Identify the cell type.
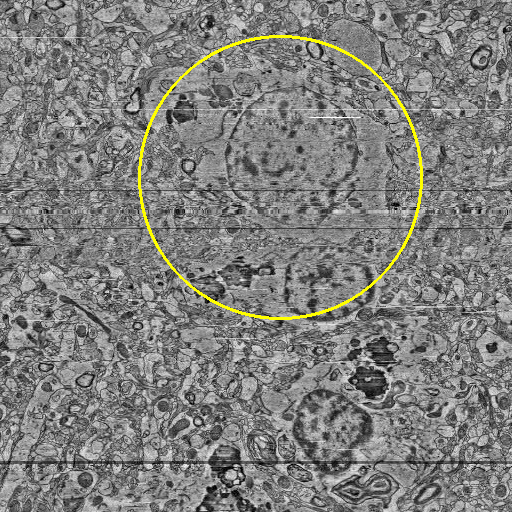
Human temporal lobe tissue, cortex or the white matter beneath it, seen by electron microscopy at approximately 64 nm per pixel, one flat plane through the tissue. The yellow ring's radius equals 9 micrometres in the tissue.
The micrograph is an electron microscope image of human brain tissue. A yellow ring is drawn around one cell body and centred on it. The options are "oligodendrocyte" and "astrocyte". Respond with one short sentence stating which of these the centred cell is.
The cell body in the ring belongs to an astrocyte.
